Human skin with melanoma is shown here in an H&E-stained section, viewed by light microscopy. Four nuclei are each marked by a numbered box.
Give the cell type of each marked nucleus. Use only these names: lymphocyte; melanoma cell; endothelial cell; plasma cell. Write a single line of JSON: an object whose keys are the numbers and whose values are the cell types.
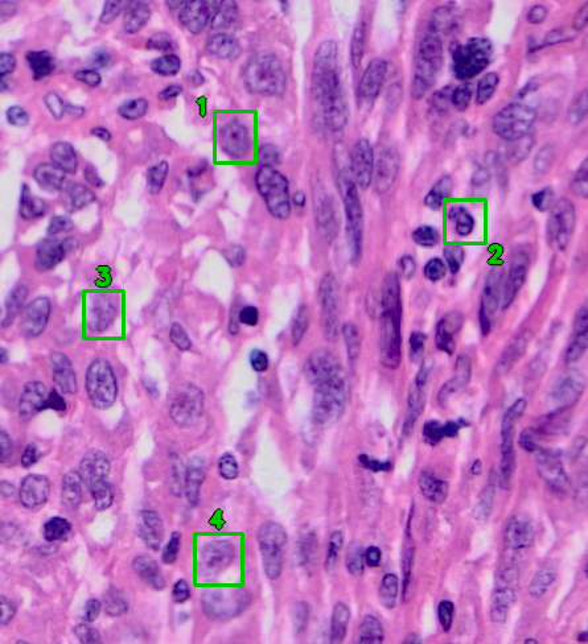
{"1": "melanoma cell", "2": "lymphocyte", "3": "melanoma cell", "4": "melanoma cell"}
